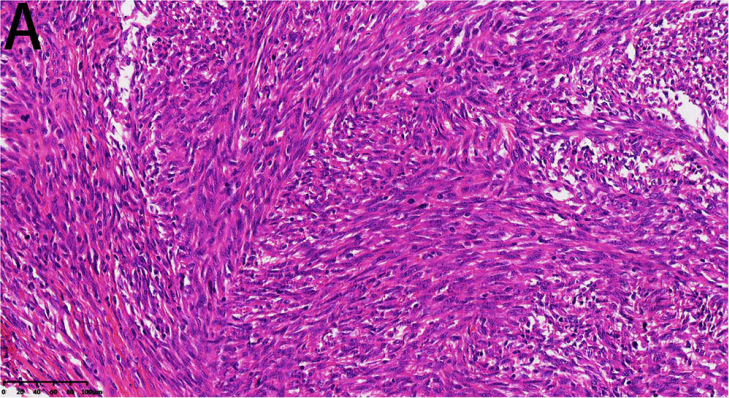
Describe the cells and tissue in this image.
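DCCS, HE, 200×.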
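Densely cellular sarcoma made of spindle cells arranged in long bundles. The fascicles sweep in different directions and meet at angles across the field. Nuclei are elongated, dark purple and crowded, with scant pink cytoplasm between them. Little intervening stroma is seen, and a narrow cleft separates two cell bundles on the left.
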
